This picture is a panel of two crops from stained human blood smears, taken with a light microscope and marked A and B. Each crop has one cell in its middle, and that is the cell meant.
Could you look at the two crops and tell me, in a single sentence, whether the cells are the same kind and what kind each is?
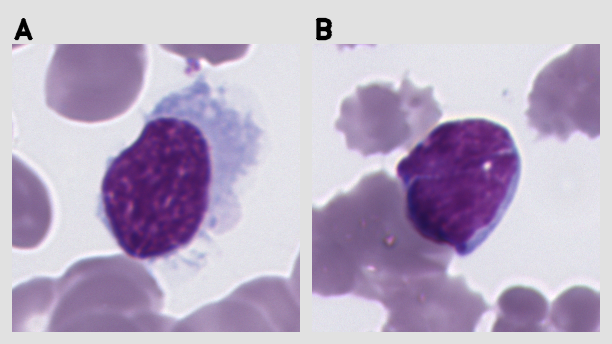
No, that is not right; crop A shows a hairy cell and crop B shows a myeloblast.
